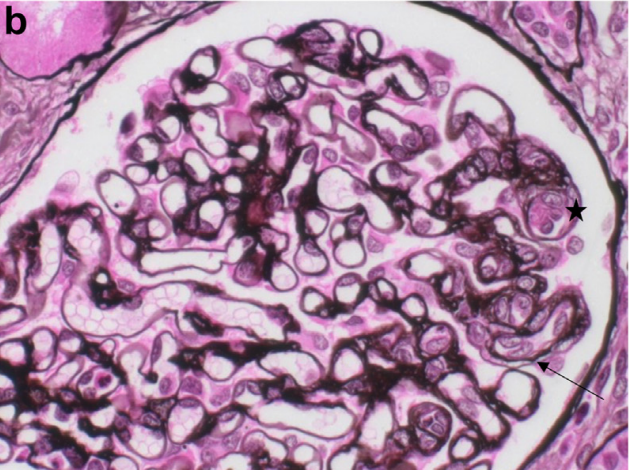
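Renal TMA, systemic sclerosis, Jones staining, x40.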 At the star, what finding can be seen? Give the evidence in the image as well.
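Endothelial swelling. At the star, capillary lumens are narrowed by enlarged pale cells lining the loops.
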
